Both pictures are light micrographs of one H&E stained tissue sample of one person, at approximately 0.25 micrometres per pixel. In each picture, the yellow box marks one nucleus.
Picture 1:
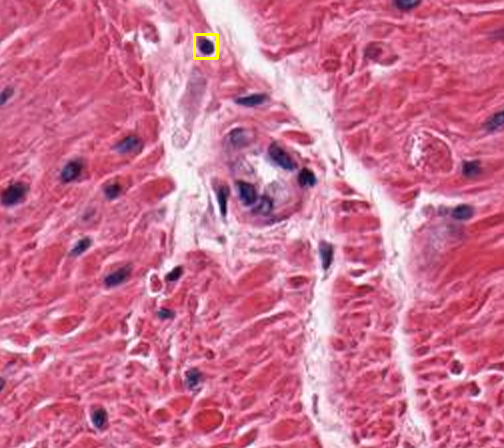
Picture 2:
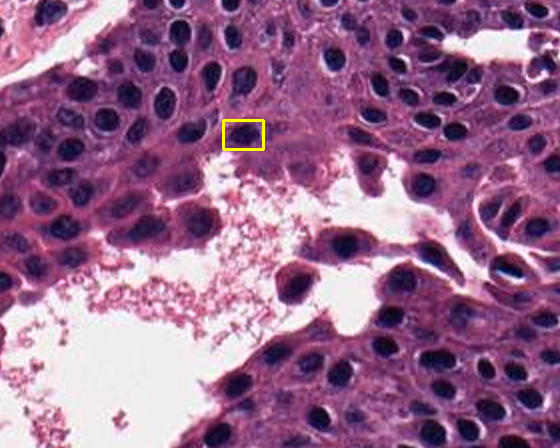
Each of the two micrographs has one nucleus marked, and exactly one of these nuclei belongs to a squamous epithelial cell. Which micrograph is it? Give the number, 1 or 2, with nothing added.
2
